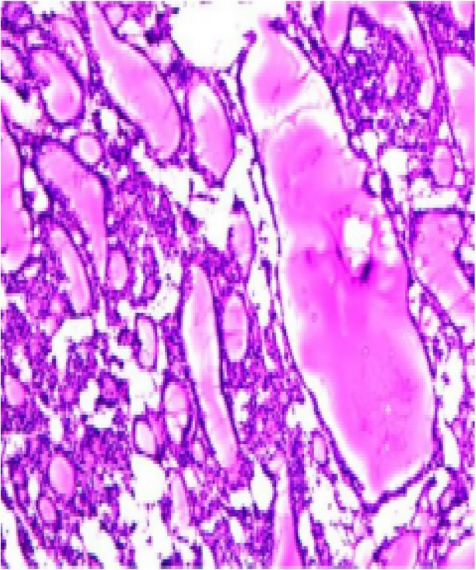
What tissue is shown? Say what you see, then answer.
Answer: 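Many round to elongated follicles of varying size. Follicles are filled with homogeneous pink material. Follicles are lined by a single layer of small cells with dark purple nuclei.
Thyroid tissue.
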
